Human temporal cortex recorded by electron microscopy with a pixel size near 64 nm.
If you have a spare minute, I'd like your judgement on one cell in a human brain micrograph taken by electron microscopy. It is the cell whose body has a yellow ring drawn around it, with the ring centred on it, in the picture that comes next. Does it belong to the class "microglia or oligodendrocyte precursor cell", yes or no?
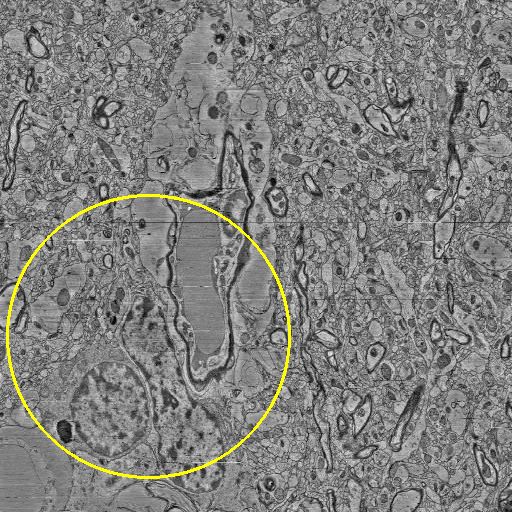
Yes, it belongs to that class.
